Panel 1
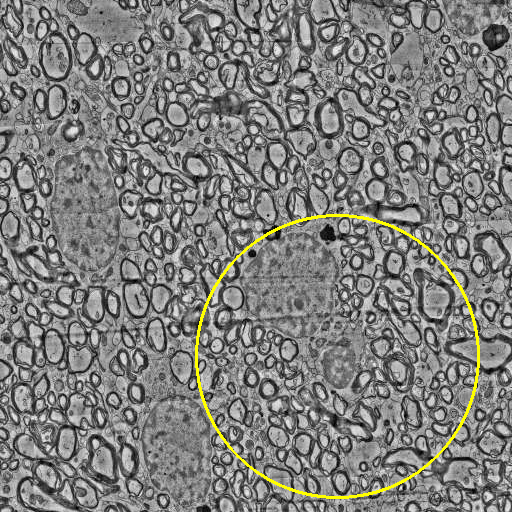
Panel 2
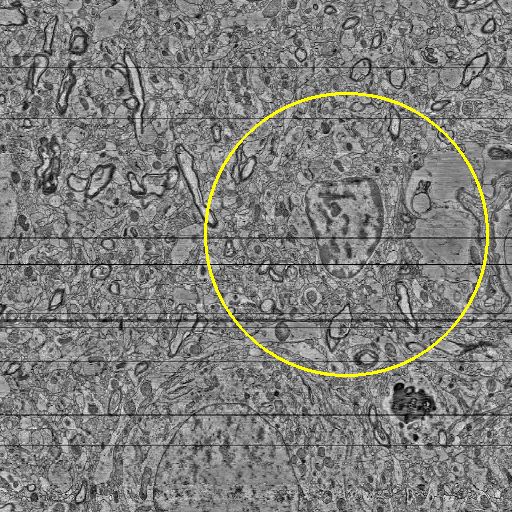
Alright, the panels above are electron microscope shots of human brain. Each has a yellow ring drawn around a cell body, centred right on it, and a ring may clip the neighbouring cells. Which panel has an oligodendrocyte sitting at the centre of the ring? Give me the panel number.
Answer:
1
